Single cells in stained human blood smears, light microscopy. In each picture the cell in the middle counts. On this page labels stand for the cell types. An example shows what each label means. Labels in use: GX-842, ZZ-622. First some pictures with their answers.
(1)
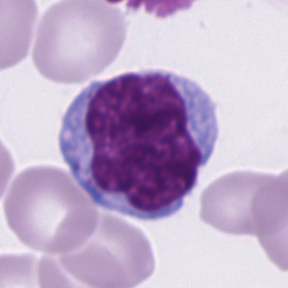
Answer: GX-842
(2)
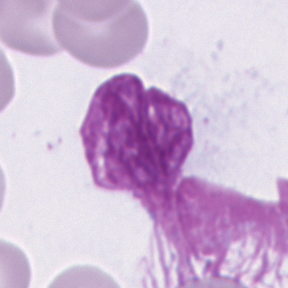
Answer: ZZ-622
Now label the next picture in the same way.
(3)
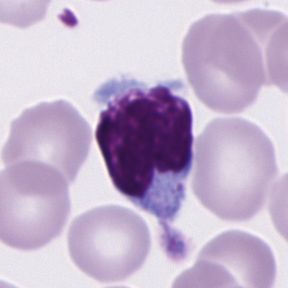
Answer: GX-842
